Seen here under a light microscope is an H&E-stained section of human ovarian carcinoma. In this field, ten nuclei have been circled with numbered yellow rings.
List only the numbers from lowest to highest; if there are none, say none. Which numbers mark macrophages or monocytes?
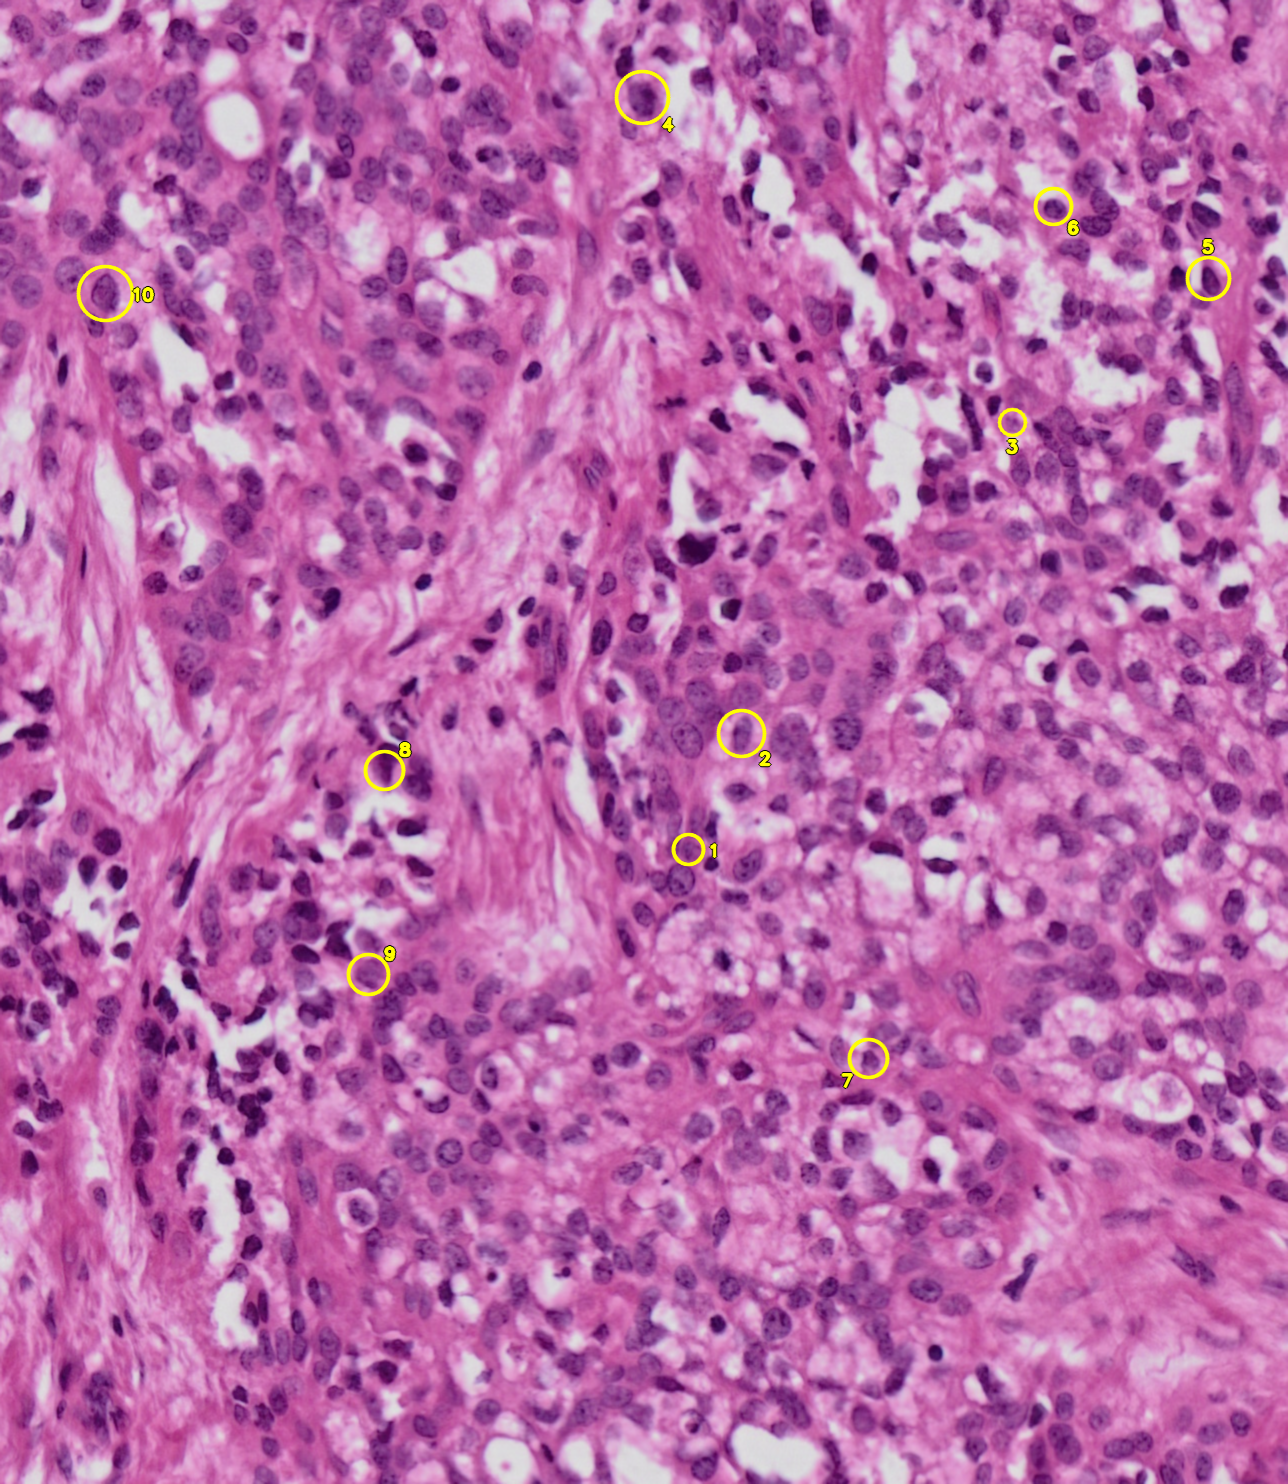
2, 3, 6, 7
